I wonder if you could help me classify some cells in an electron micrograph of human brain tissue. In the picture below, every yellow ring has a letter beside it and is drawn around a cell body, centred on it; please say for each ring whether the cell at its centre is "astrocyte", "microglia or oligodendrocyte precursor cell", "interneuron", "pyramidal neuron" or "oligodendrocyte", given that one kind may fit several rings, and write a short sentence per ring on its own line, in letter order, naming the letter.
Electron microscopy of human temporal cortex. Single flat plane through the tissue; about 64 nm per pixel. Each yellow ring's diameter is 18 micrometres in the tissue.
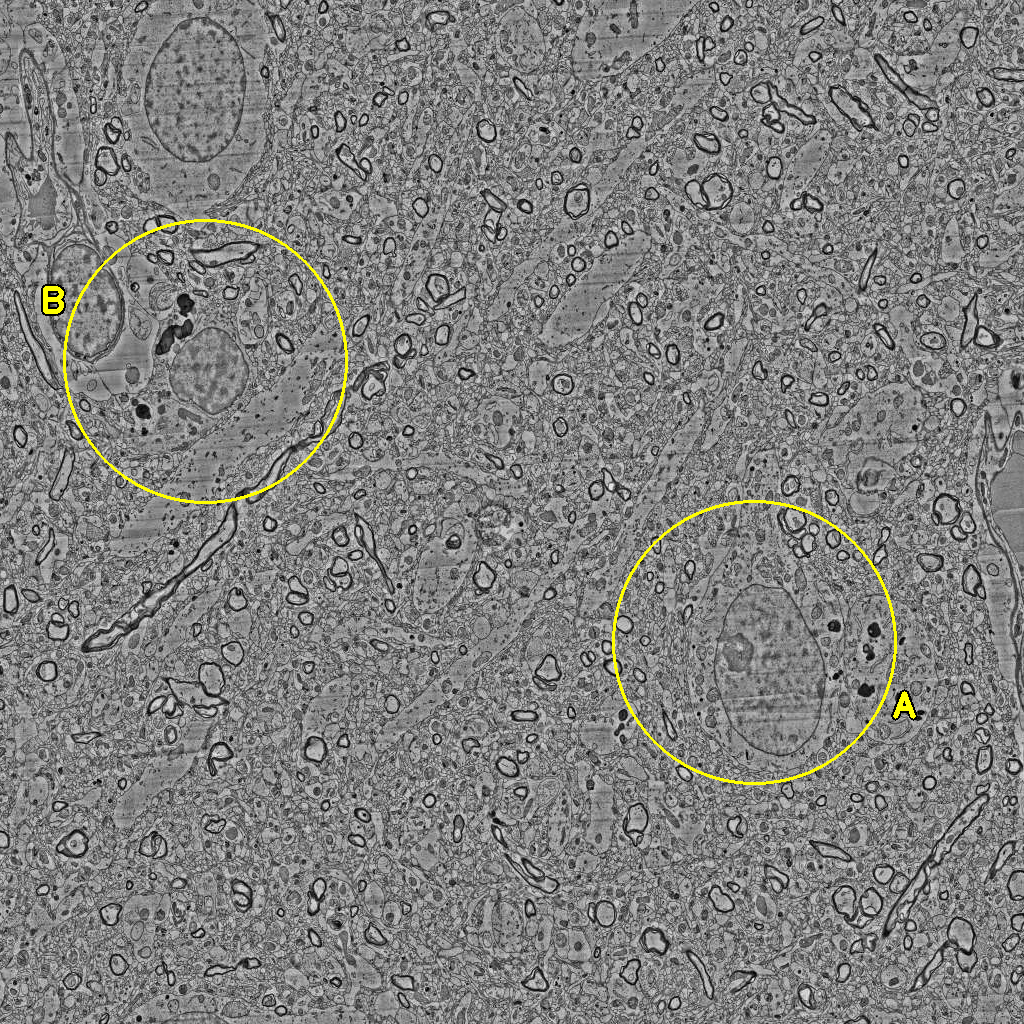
Centred in ring A is a pyramidal neuron.
Centred in ring B is an oligodendrocyte.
